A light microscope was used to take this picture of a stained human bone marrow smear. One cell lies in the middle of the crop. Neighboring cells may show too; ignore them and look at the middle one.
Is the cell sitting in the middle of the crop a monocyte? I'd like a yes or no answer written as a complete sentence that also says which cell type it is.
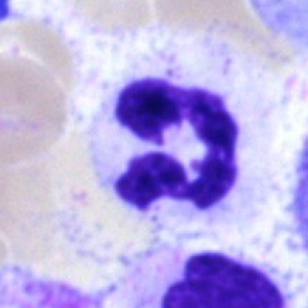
No, this cell in the middle is a segmented neutrophil, so it is not a monocyte.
